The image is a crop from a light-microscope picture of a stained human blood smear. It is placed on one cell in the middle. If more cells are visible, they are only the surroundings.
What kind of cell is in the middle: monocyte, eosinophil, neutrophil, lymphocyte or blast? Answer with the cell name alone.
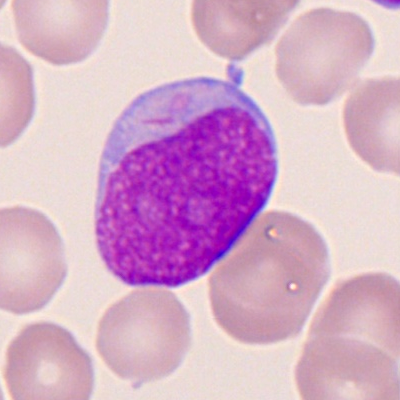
blast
